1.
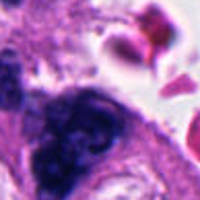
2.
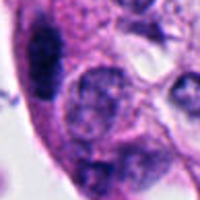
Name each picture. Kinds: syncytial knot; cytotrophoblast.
1. syncytial knot
2. cytotrophoblast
